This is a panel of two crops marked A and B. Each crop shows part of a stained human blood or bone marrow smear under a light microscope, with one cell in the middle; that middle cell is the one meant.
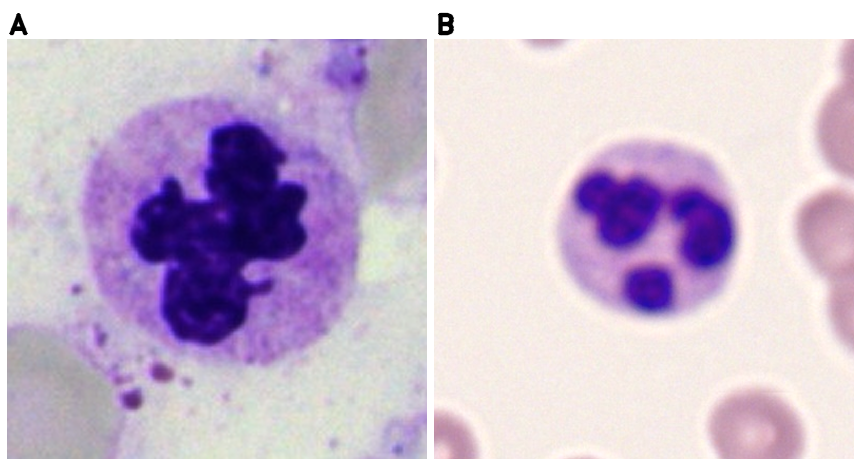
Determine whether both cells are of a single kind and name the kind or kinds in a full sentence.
Yes, both crops show a cell each, and these are segmented neutrophils.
